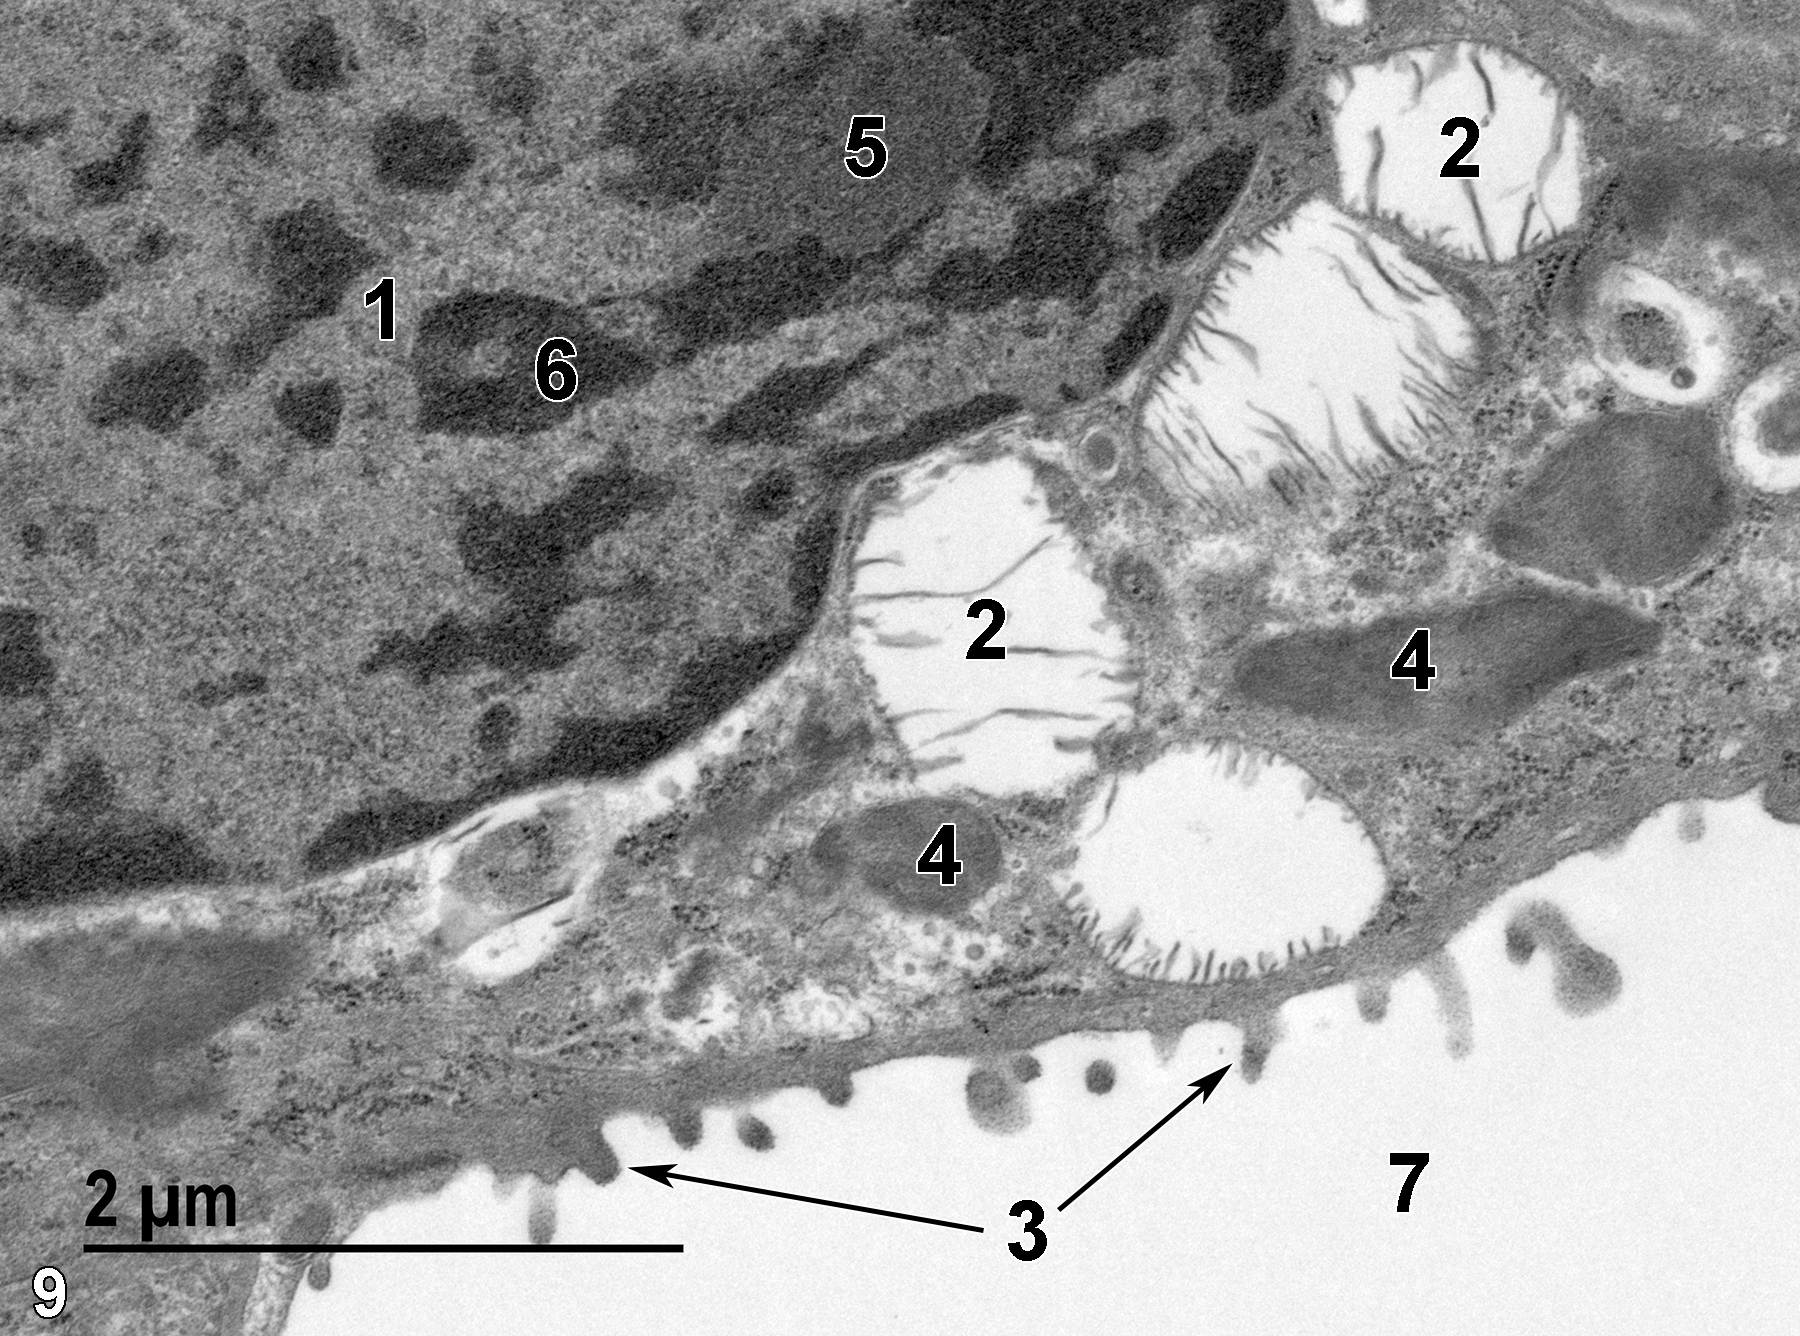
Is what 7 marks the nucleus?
No, 7 marks the alveolar airway.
